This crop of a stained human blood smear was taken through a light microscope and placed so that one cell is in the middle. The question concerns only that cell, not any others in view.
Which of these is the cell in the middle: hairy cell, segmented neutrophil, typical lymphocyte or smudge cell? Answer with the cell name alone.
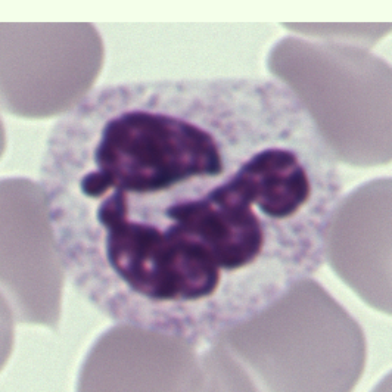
segmented neutrophil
